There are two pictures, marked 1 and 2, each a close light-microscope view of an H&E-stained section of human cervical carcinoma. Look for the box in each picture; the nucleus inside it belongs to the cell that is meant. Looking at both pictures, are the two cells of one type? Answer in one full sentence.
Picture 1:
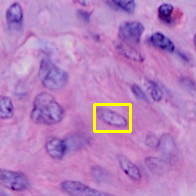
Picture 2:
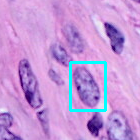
No. Picture 1 shows a smooth muscle cell, but picture 2 shows an endothelial cell.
